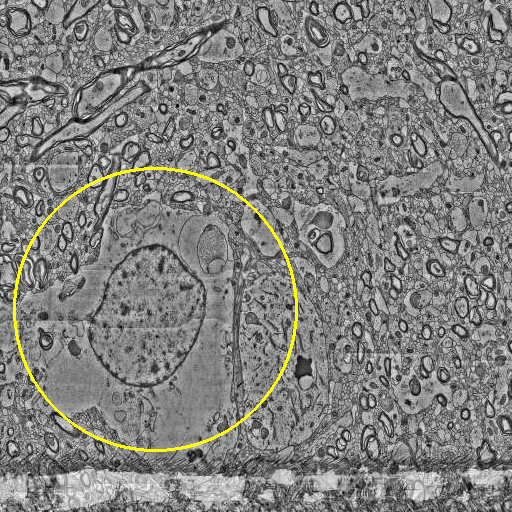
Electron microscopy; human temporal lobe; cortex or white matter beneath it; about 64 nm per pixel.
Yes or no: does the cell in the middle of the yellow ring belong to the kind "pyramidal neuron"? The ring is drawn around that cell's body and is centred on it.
no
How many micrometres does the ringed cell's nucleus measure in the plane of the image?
About 9 by 7 micrometers for the nucleus, in this plane.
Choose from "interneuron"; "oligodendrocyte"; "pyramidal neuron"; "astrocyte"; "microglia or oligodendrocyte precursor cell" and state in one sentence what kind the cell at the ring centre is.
At the centre of the ring sits an astrocyte.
